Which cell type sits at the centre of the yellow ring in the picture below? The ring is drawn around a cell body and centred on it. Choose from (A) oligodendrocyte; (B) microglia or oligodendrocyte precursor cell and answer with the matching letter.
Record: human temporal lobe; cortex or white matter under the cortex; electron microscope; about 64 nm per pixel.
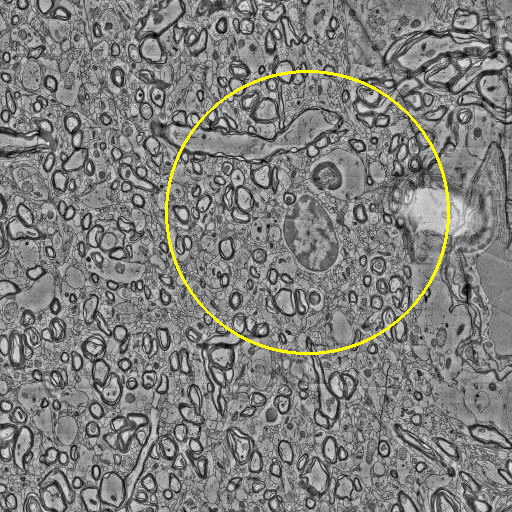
B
